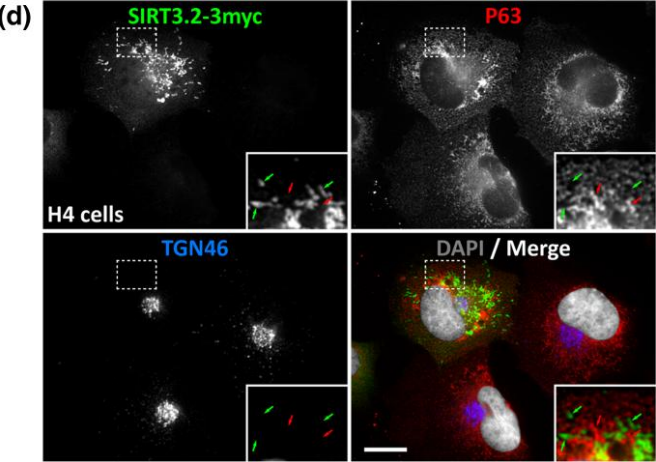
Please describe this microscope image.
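Cultured cells with oval grey nuclei, one showing green label. The green label forms short rods and threads clustered around the nucleus. The red label is a fine reticular network filling the cytoplasm and rimming the nucleus in every cell. In the merge green rods lie between red meshes and stay distinct rather than yellow. A small compact blue patch lies beside each nucleus.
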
